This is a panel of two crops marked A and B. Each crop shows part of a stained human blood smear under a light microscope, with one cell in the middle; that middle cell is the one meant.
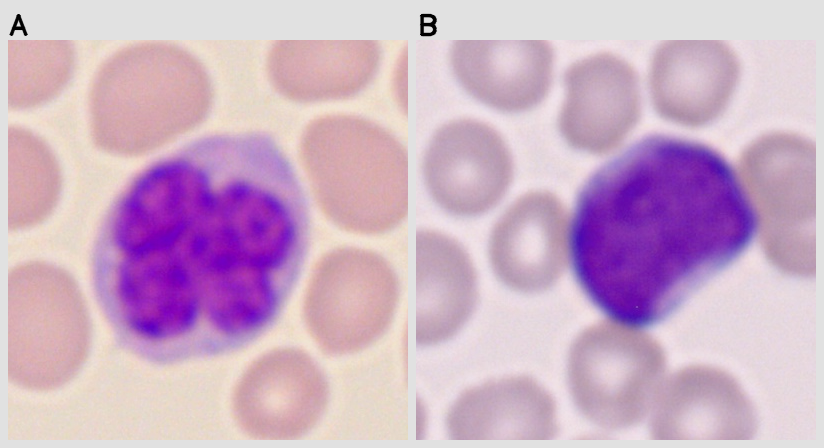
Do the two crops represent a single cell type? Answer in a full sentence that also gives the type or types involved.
No, crop A matches a monocyte and crop B matches a myeloblast.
